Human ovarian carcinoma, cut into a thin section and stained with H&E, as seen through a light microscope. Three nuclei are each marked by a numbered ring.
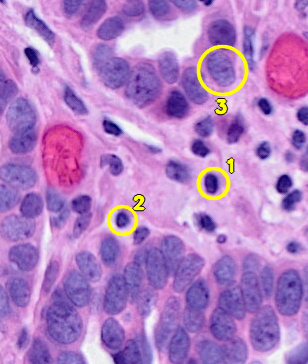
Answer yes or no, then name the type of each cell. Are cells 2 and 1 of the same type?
Yes, cells 2 and 1 are both lymphocytes in this section.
